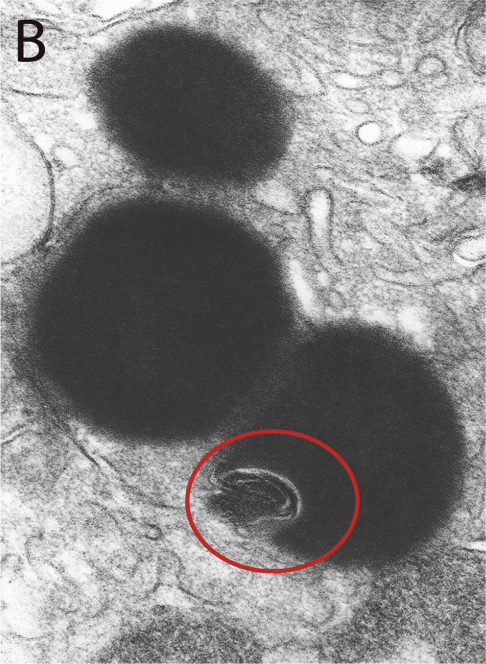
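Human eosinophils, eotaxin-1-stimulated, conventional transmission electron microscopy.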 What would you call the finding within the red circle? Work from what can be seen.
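Heterogeneous areas. The red circle encloses pale curved lamellar profiles at the lower edge of a dark round body.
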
